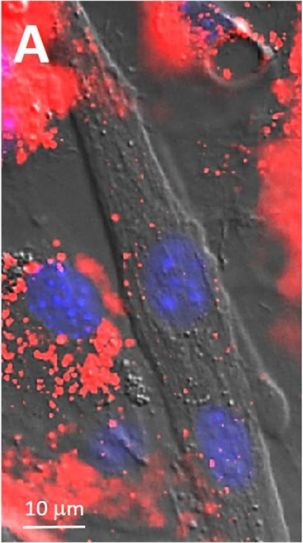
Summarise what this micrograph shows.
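A long, band-like cell crosses the field diagonally and holds two oval nuclei aligned along its length, each with several bright blue spots. Small red dots lie scattered over and near this cell, while large red masses and clusters of red granules lie over neighbouring cells at the field's edges. The cytoplasm of the elongated cell has a fine granular texture.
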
